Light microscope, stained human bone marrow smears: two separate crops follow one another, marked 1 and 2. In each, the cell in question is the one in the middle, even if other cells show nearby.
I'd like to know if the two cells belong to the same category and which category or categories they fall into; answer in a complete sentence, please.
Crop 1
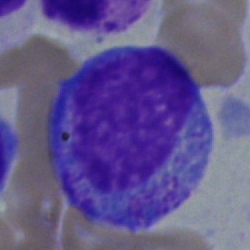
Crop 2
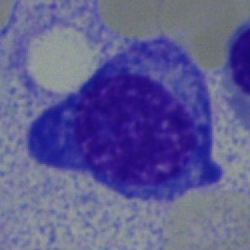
No, crop 1 shows a promyelocyte, and crop 2, by contrast, shows a plasma cell.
